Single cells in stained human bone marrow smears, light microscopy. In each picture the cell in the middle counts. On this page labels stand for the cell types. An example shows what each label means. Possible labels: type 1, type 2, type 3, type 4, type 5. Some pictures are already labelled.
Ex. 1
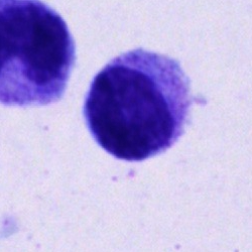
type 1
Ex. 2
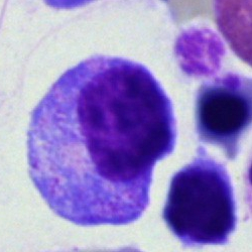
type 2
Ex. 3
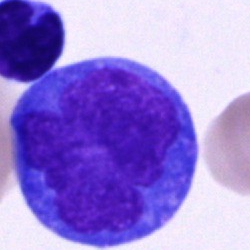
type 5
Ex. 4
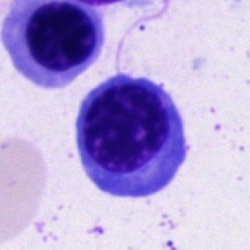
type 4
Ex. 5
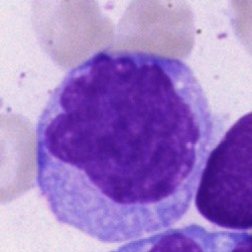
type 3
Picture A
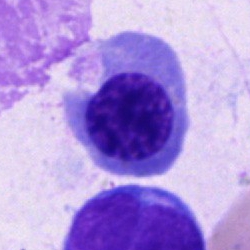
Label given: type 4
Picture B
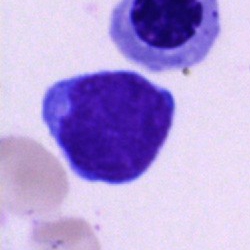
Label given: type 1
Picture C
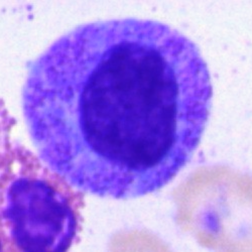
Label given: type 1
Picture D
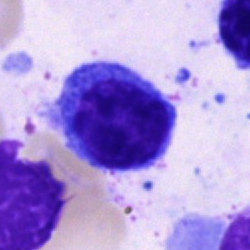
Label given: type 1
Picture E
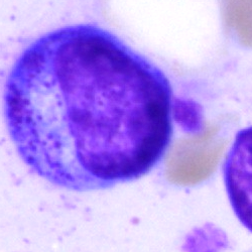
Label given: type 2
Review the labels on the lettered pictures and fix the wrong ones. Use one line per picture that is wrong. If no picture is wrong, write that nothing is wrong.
C: not type 1 but type 2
